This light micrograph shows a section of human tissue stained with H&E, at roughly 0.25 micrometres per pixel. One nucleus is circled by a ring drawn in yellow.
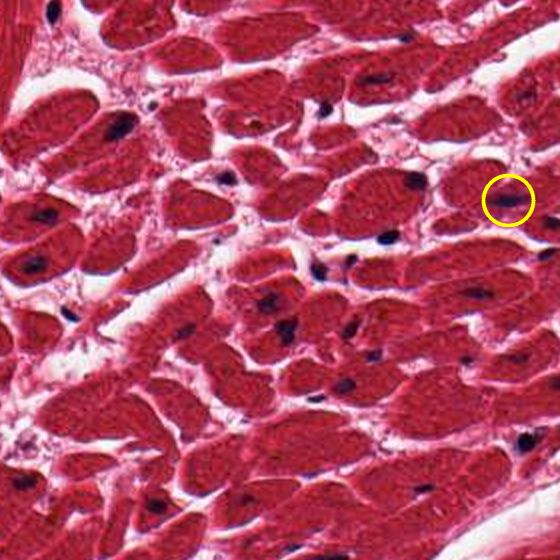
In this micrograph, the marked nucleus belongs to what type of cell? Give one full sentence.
The mark indicates the nucleus of a cardiomyocyte.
